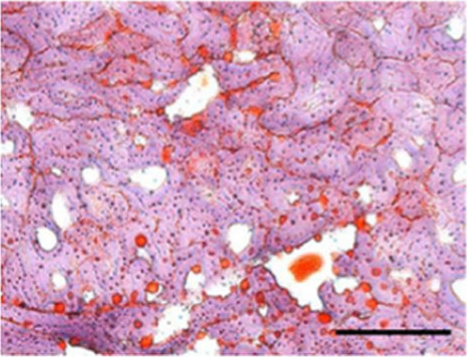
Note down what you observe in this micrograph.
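This is a section of skeletal muscle with closely packed myofibers stained pinkish purple and many small dark nuclei. Scattered clear spaces open between the fibers, one of which holds an orange-red mass.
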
